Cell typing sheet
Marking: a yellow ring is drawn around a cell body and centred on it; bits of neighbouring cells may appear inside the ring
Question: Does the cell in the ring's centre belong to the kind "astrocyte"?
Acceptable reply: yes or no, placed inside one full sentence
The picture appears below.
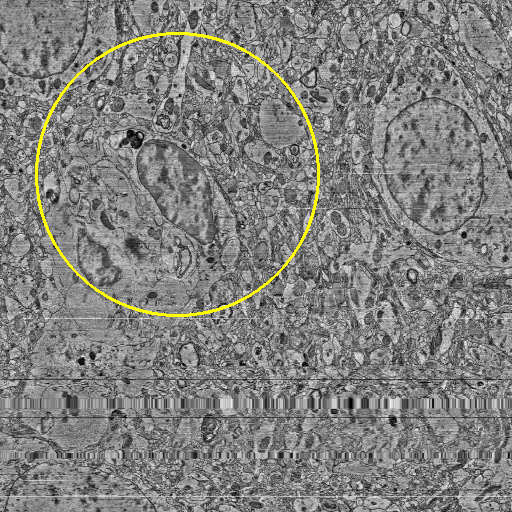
No, the cell at the centre of the ring belongs to a different kind.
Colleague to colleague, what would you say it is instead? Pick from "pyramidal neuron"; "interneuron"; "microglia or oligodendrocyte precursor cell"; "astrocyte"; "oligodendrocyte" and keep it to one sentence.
It is a microglial cell or oligodendrocyte precursor cell that the ring is centred on.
